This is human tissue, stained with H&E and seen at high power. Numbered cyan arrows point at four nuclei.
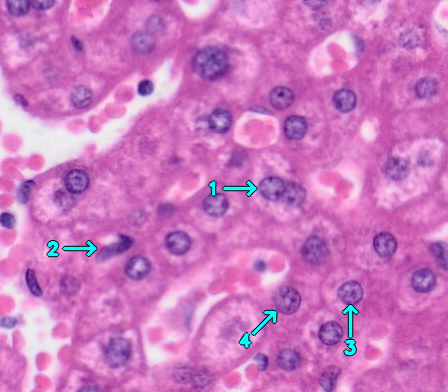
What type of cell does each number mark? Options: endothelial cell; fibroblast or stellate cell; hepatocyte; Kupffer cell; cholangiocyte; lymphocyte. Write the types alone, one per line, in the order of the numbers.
hepatocyte
Kupffer cell
hepatocyte
hepatocyte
